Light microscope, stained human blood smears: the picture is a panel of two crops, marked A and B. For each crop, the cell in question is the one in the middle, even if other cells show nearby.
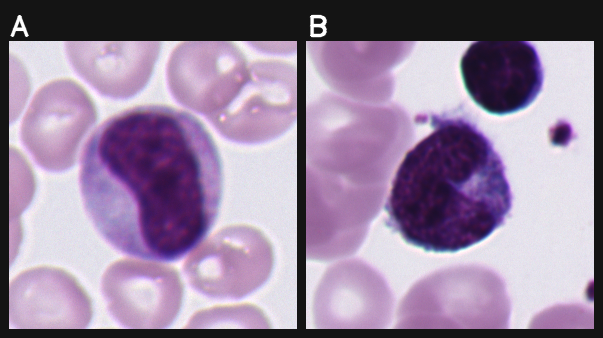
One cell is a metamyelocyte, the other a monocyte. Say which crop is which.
A: metamyelocyte
B: monocyte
